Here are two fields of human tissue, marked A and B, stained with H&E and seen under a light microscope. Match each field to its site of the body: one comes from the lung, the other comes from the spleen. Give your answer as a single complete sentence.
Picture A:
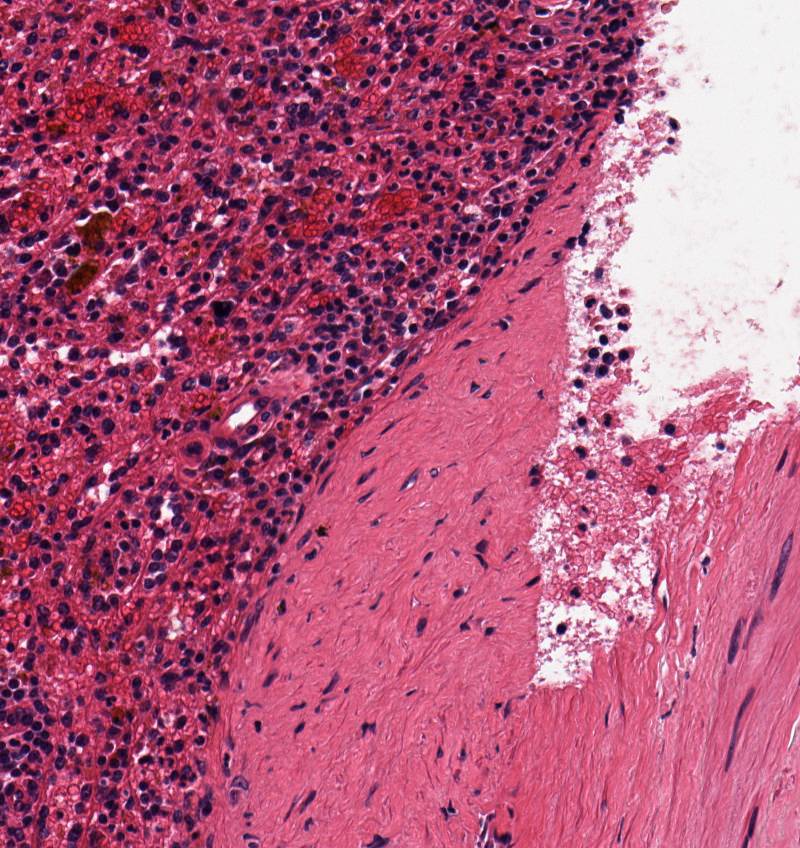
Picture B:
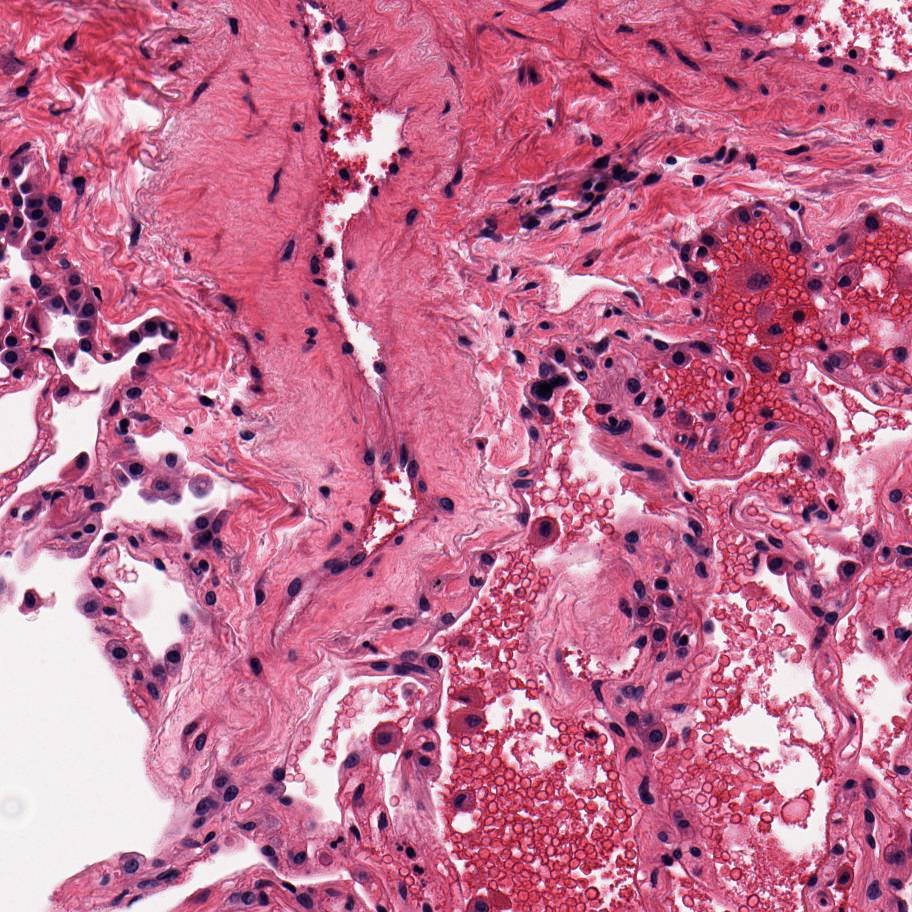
Picture A comes from the spleen and picture B comes from the lung.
